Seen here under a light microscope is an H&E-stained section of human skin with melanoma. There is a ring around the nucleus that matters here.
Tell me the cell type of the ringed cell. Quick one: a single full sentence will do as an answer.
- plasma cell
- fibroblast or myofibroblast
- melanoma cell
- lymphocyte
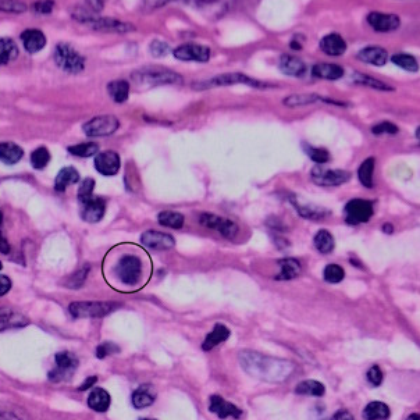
The identity of the ringed cell: it is a plasma cell.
